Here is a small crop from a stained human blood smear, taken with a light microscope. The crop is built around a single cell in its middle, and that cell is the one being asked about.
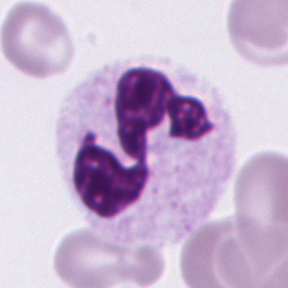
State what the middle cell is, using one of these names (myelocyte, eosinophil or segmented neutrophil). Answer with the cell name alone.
segmented neutrophil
